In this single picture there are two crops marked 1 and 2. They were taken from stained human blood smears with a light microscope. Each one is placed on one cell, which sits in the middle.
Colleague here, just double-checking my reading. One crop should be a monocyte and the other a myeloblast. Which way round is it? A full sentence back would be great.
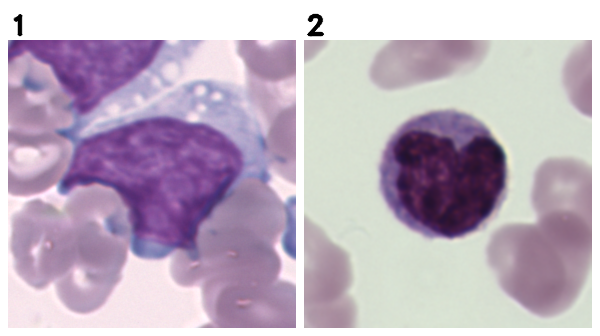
Crop 1 displays a myeloblast, and crop 2 displays a monocyte.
